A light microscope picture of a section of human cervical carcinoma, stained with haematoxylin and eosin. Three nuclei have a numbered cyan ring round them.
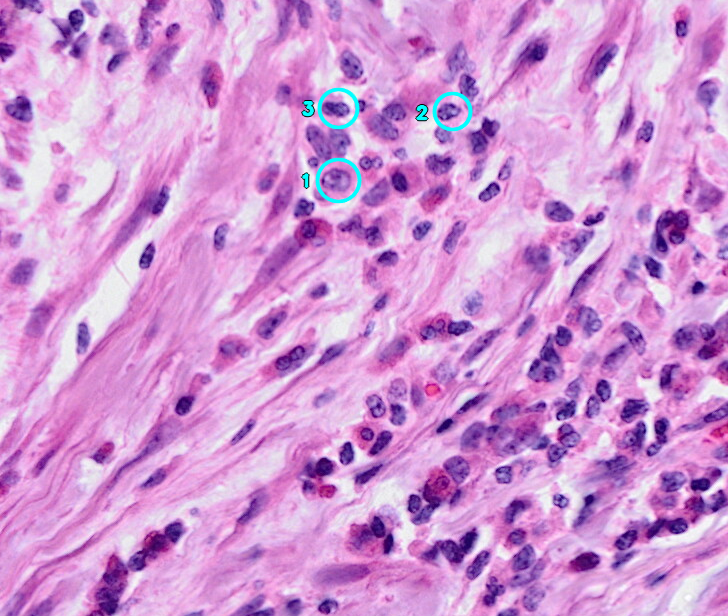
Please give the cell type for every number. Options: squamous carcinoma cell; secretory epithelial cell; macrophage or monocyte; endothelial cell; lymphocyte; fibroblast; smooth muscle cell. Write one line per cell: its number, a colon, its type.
1: macrophage or monocyte
2: lymphocyte
3: lymphocyte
